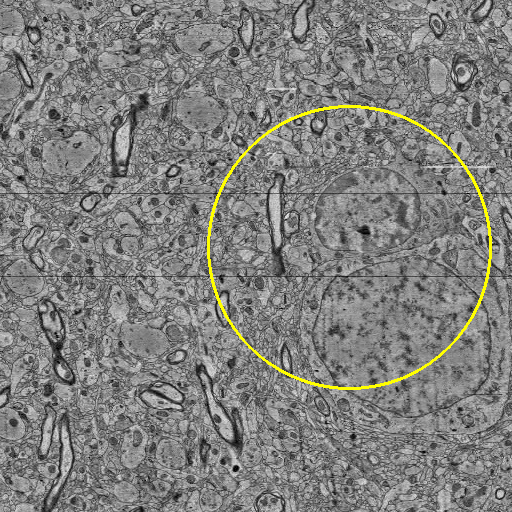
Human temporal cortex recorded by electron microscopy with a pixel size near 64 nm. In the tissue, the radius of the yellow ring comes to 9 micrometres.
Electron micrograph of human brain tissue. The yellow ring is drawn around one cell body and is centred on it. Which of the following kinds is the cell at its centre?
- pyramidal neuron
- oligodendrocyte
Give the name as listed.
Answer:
oligodendrocyte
